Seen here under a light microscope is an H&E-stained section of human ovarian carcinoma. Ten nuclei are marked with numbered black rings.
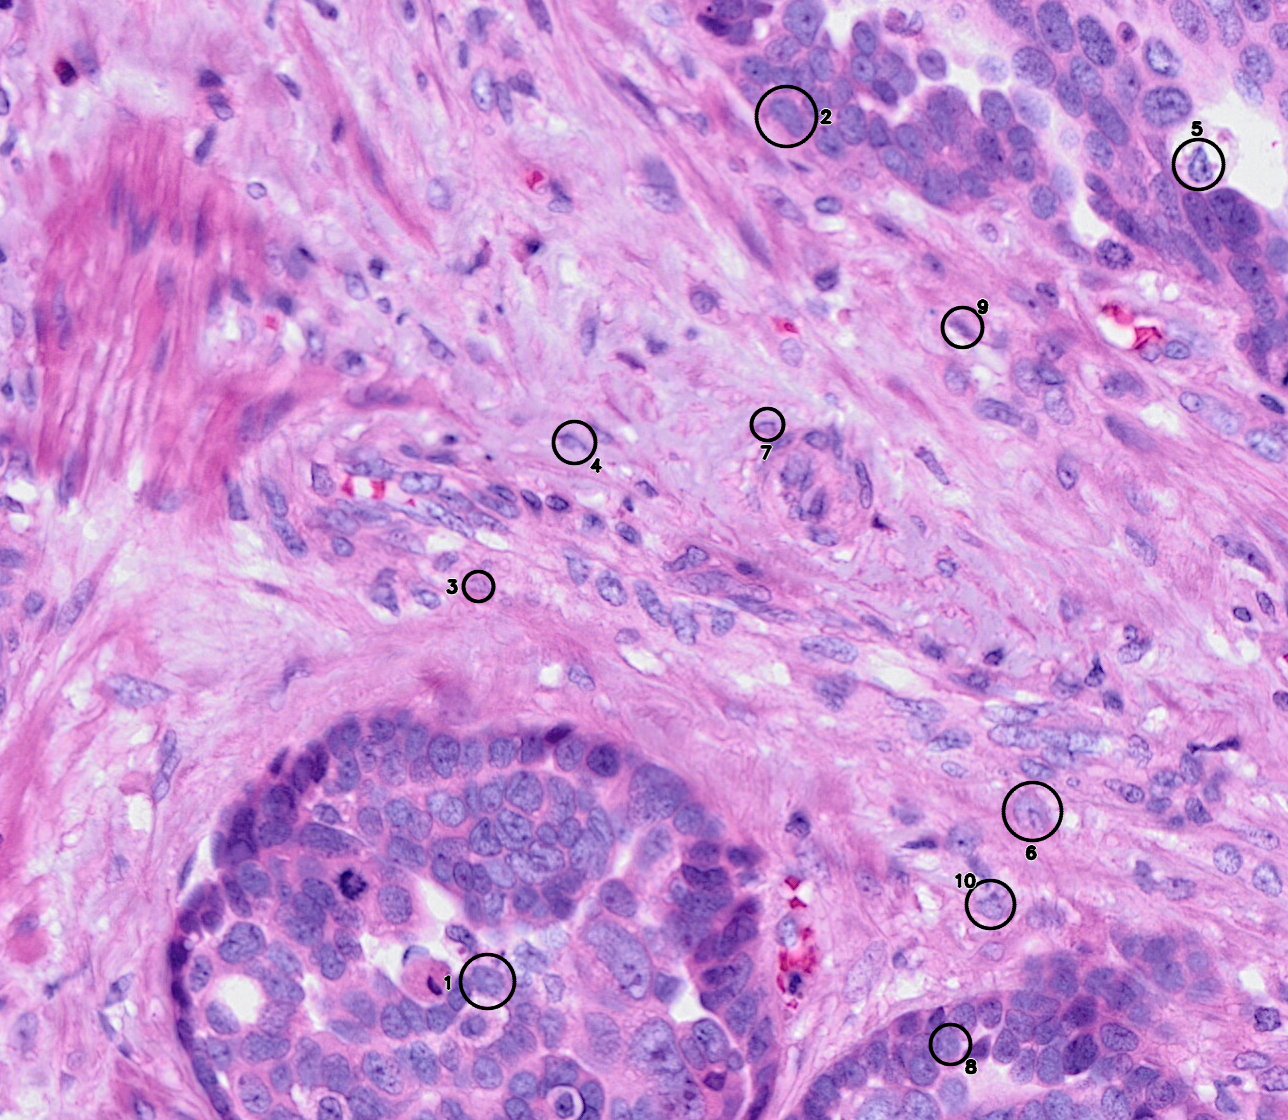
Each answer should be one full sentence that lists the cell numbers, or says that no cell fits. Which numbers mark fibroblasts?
The cells that the numbers 3, 4, 6, 7, 9 and 10 belong to are fibroblasts.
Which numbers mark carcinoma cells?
In terms of cell type, cells 1, 2 and 8 are carcinoma cells.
